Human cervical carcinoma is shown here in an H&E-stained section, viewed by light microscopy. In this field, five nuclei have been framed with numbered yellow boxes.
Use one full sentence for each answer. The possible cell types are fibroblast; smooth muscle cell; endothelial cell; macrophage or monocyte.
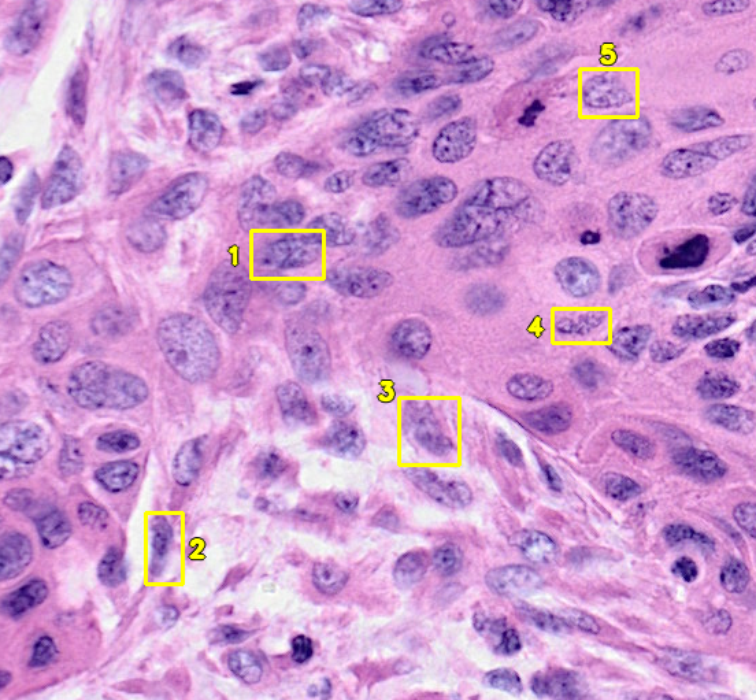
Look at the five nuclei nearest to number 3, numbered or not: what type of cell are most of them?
Fibroblasts account for more than half of the five nuclei nearest to number 3.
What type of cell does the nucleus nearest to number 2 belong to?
The nucleus nearest to number 2 is that of a macrophage or monocyte.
